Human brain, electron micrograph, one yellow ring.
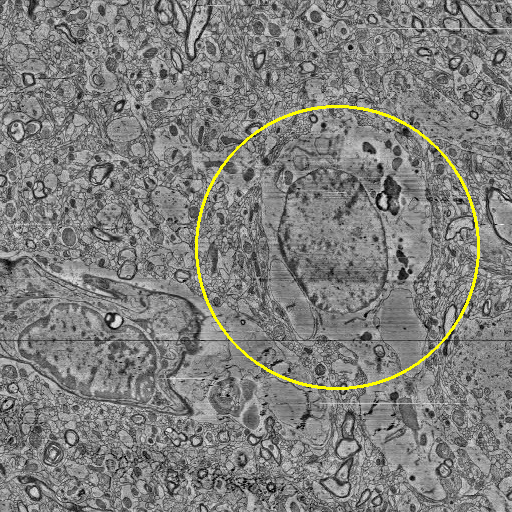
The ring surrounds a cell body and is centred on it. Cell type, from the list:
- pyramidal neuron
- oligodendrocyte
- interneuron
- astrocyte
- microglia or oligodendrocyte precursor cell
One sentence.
The yellow ring circles an astrocyte.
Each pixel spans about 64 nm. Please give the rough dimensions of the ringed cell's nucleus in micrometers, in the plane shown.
The nucleus comes to roughly 10 by 7 micrometres in this plane.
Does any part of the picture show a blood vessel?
Yes, there is a blood vessel.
